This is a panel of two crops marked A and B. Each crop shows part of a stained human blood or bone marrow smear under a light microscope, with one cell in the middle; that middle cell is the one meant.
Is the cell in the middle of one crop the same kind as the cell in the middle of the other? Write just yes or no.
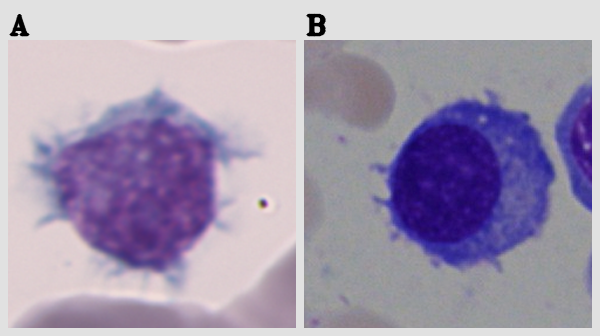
no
